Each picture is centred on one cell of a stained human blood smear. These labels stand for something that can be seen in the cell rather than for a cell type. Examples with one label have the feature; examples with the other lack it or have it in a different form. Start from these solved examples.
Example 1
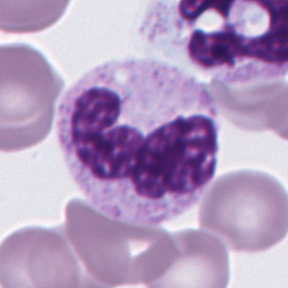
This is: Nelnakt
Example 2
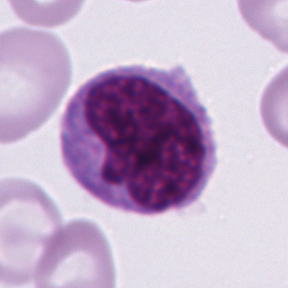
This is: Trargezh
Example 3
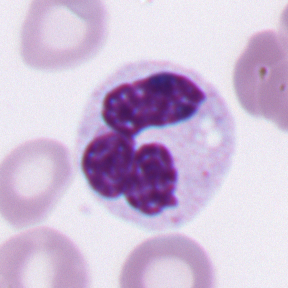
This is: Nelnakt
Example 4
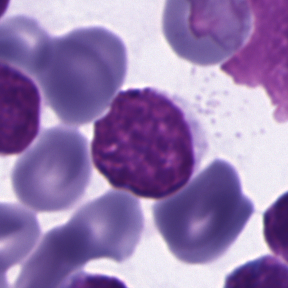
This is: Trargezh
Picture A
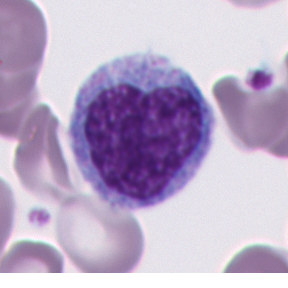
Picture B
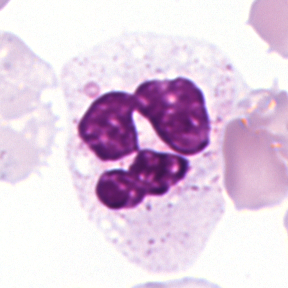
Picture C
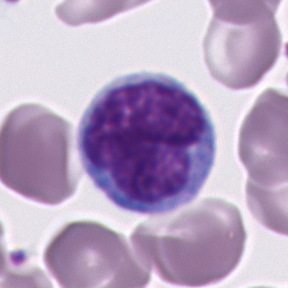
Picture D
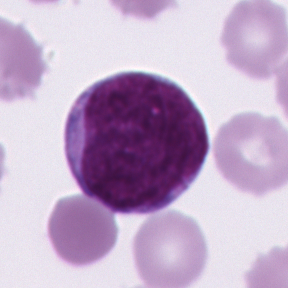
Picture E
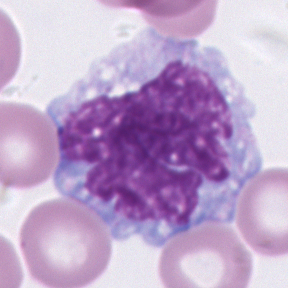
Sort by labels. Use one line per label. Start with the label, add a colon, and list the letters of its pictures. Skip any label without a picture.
Nelnakt: B, E
Trargezh: A, C, D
